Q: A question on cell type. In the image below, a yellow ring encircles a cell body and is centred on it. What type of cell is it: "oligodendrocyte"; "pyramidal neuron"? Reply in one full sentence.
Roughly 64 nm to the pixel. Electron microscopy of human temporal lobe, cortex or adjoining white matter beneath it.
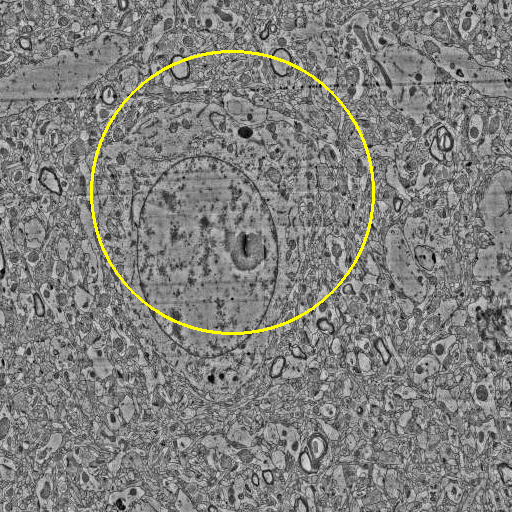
It is a pyramidal neuron whose cell body sits at the centre of the yellow ring in the image.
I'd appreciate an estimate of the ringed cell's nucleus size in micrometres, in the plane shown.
The nucleus comes to roughly 13 by 9 micrometres in this plane.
